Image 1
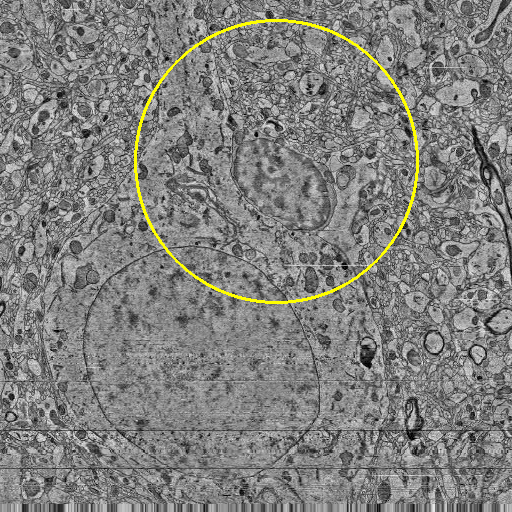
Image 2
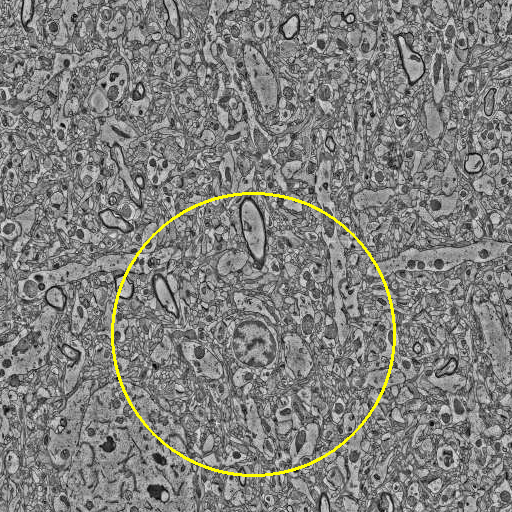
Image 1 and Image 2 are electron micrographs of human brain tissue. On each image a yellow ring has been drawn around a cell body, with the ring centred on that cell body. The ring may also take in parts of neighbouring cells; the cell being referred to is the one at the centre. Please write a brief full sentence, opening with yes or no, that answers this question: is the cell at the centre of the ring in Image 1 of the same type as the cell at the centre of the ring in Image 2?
No, the two cells are of two types.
